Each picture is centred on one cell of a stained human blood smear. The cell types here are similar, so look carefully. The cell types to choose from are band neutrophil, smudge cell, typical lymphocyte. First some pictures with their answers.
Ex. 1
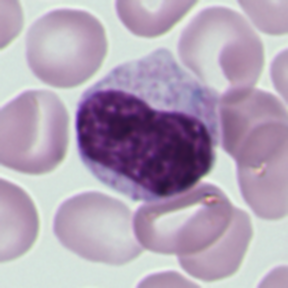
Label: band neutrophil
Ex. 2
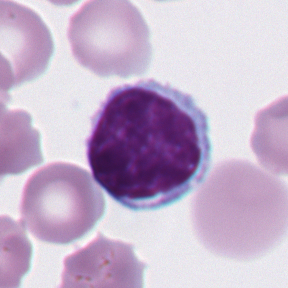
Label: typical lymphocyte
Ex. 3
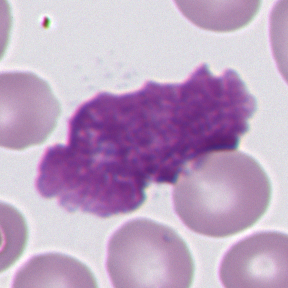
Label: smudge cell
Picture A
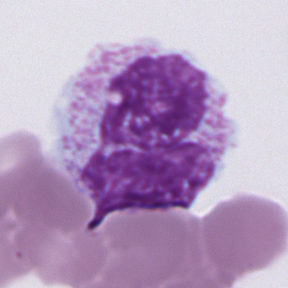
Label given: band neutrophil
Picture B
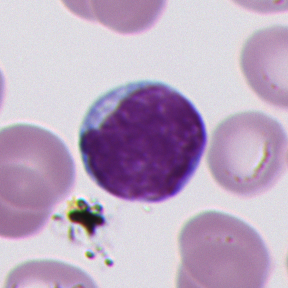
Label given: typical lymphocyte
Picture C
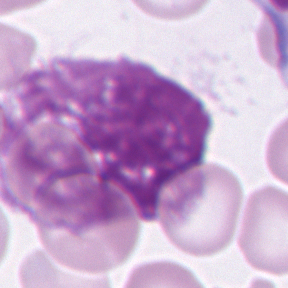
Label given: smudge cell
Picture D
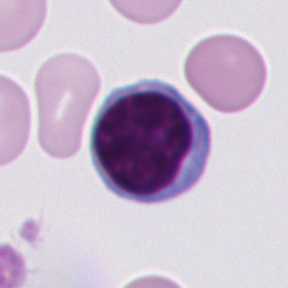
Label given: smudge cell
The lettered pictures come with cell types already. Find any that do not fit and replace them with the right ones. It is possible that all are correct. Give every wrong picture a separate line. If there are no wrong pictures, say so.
Wrong: D (smudge cell); correct: typical lymphocyte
